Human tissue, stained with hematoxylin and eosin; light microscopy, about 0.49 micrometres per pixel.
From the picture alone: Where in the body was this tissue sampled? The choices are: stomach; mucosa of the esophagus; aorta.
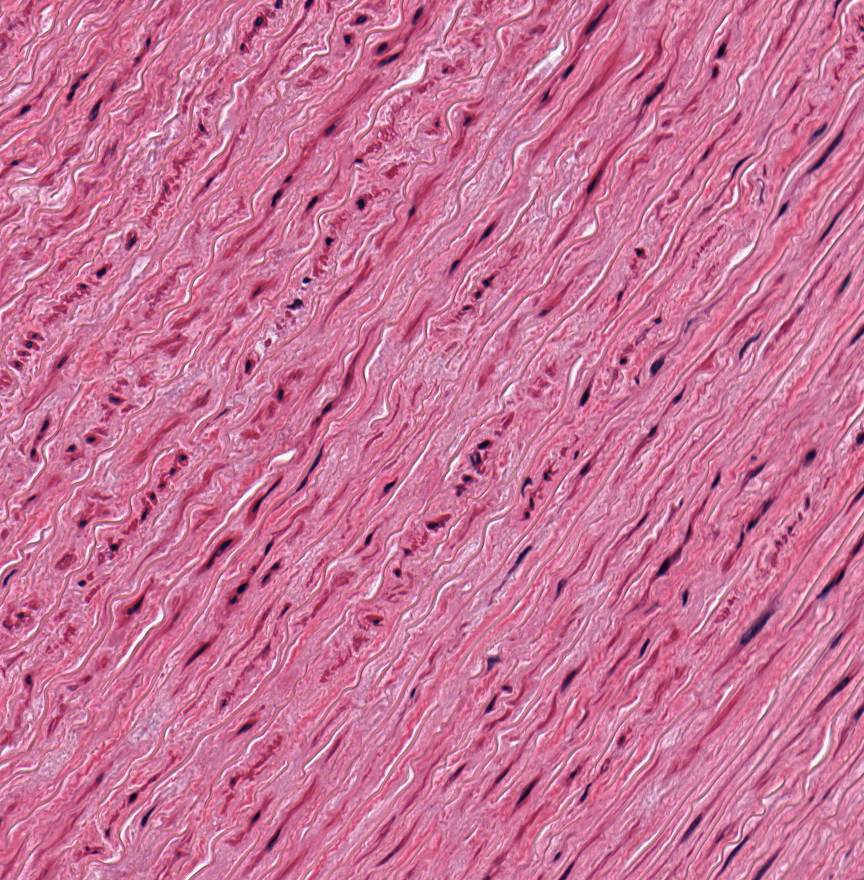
aorta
